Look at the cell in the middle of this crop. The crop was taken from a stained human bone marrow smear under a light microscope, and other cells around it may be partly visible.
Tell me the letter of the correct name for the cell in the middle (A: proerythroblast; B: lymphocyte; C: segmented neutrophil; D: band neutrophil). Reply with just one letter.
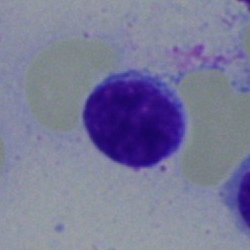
B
